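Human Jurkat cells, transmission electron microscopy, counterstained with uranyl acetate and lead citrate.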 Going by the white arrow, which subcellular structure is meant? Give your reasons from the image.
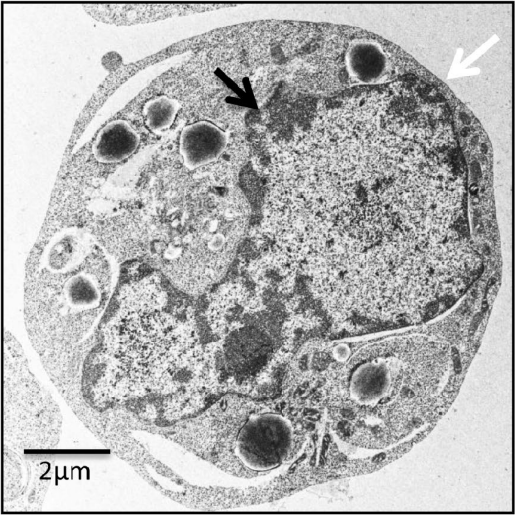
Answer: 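The white arrow points to the smooth, continuous outer boundary of the cell. The cell outline is unbroken around its whole circumference.
Hence: intact cell membrane.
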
